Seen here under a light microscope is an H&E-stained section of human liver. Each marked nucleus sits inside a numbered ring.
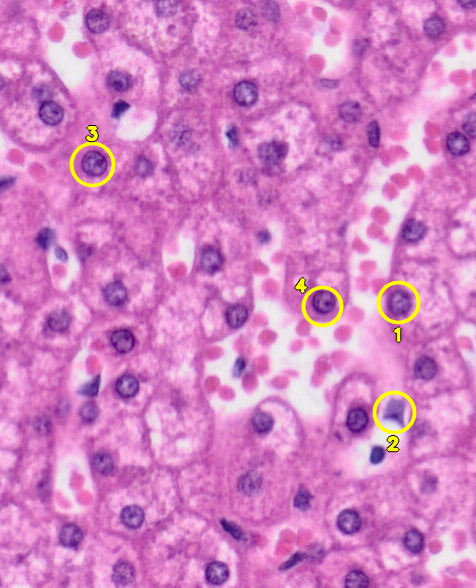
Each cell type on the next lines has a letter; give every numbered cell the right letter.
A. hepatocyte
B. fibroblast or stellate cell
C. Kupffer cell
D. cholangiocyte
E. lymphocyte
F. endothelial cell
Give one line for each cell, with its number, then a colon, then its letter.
1: A
2: F
3: A
4: A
